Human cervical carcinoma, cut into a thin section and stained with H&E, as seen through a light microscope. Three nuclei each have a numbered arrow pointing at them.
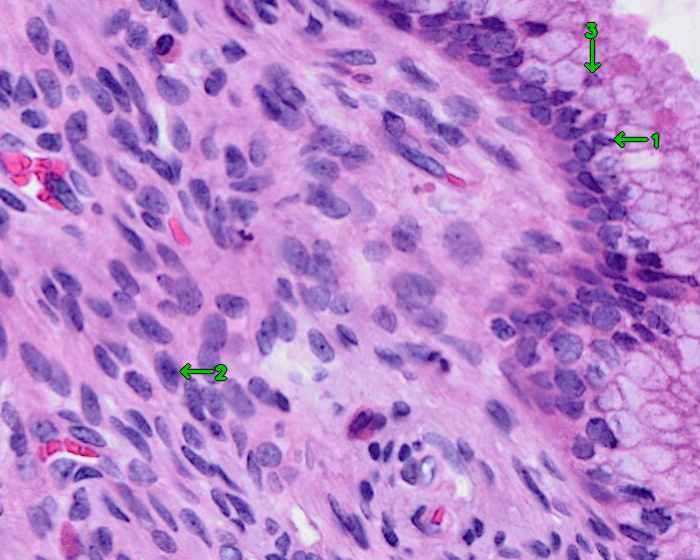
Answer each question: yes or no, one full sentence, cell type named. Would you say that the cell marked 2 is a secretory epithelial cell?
No, cell 2 is not to be taken for a secretory epithelial cell; it is a fibroblast.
